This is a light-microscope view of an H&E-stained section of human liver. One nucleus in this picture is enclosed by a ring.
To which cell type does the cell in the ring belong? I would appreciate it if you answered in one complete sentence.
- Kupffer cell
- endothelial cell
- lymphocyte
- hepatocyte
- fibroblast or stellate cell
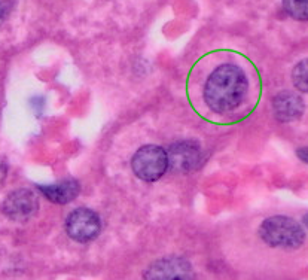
As far as its identity is concerned, the cell in the ring is a hepatocyte.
